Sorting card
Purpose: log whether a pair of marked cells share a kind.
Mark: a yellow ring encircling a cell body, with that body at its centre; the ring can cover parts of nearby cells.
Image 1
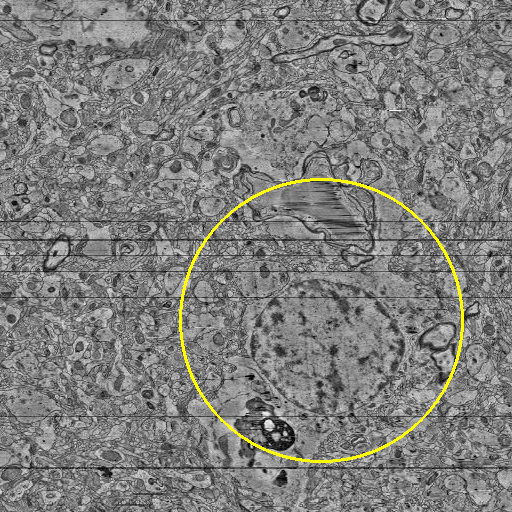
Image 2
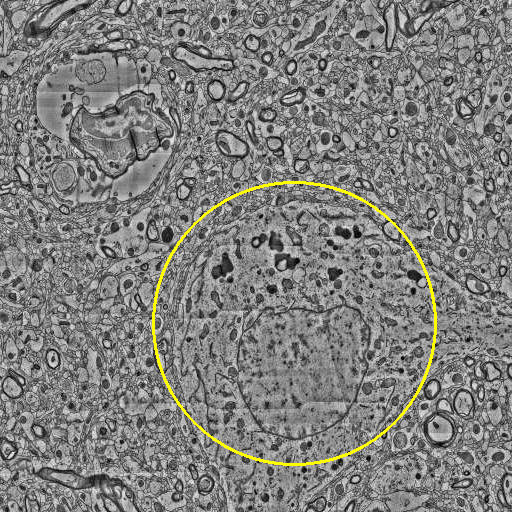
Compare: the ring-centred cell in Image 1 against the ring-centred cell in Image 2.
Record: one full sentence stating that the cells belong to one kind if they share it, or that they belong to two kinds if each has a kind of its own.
Across Images 1 and 2, the two ring-centred cells belong to two kinds.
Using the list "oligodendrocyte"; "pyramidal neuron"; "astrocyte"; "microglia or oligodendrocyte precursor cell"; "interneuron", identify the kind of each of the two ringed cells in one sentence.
The first is an astrocyte and the second is a pyramidal neuron.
